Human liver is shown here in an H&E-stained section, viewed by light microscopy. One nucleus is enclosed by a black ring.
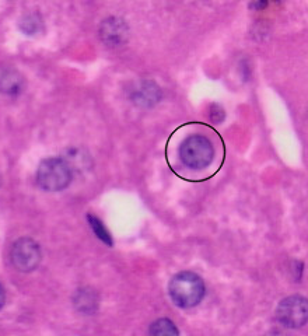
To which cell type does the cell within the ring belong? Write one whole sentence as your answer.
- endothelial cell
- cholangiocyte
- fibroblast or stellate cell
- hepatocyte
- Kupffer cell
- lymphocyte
The cell meant here is a hepatocyte.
